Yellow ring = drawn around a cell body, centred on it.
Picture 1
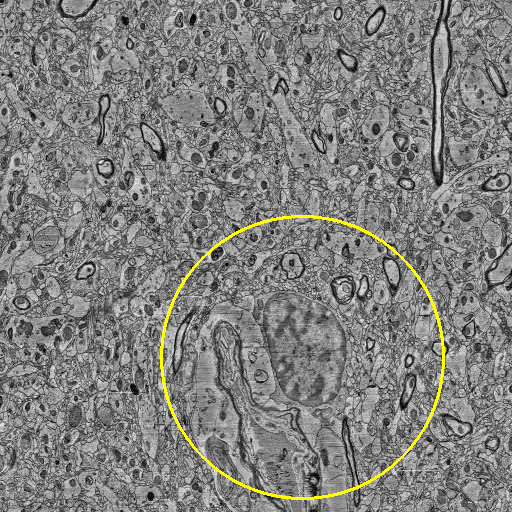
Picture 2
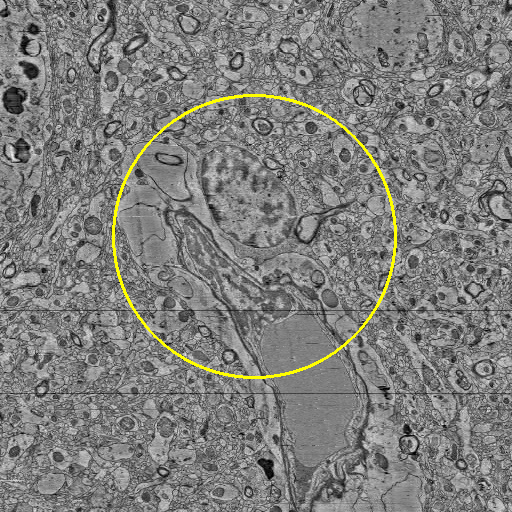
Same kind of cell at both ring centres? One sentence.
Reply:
Yes, they are the same kind of cell.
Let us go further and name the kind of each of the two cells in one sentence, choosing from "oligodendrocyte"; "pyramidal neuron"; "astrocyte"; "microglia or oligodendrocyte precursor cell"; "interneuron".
Each of the two rings surrounds an oligodendrocyte.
